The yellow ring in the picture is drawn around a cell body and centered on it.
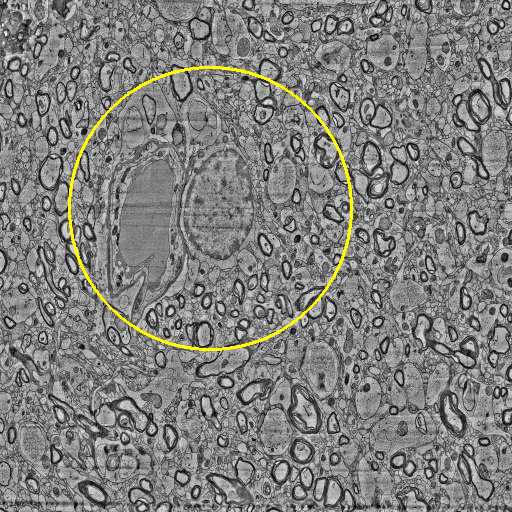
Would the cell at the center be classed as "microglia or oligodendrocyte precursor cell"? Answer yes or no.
No, it belongs to another class.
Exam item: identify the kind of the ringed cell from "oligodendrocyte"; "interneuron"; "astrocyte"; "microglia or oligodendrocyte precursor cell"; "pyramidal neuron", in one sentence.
The ringed cell in this picture is, instead, an oligodendrocyte.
